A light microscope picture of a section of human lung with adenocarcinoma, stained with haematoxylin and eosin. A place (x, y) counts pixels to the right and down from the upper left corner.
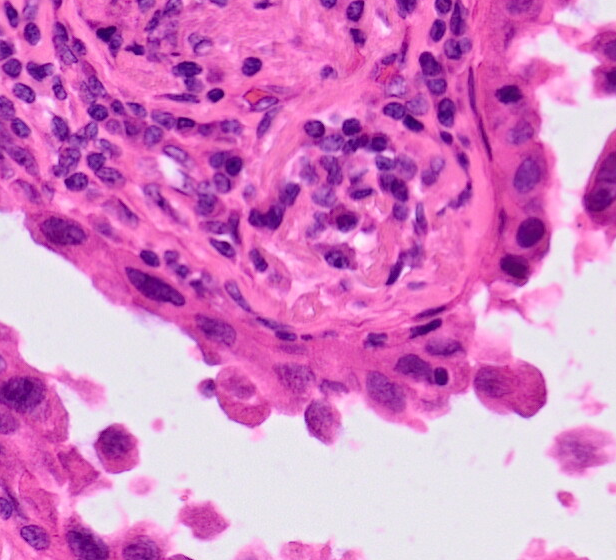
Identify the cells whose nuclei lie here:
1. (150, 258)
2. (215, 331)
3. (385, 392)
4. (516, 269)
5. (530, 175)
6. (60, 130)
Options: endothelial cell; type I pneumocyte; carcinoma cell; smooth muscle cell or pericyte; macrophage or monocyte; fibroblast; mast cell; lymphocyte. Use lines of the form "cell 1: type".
cell 1: lymphocyte
cell 2: carcinoma cell
cell 3: carcinoma cell
cell 4: carcinoma cell
cell 5: carcinoma cell
cell 6: lymphocyte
